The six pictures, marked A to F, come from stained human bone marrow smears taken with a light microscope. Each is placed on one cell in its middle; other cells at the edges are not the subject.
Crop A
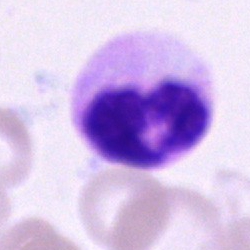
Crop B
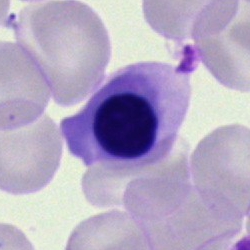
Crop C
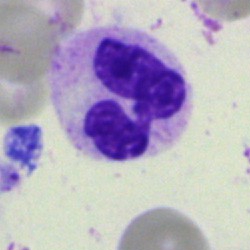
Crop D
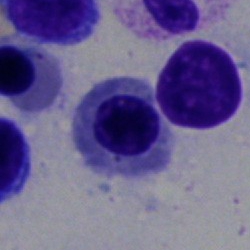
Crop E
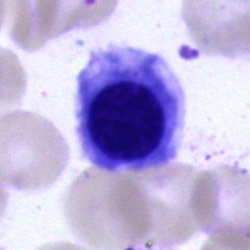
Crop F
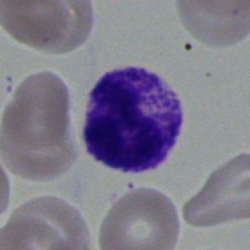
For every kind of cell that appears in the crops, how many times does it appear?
segmented neutrophil: 3
erythroblast: 3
